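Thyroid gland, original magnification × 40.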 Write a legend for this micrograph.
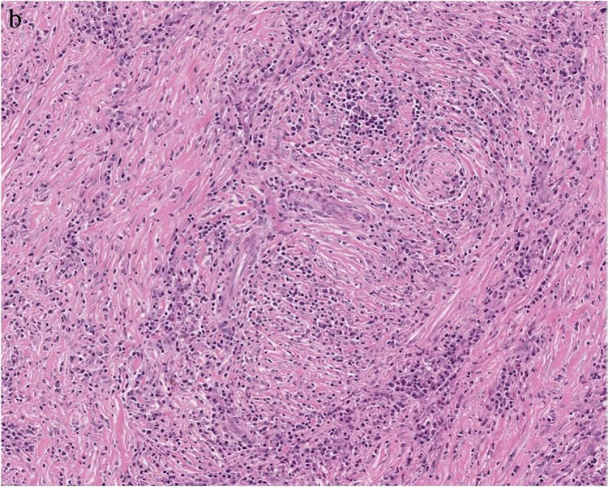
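Fibrotic tissue with pink collagen bundles interlacing at different angles in a whorled, storiform pattern, with spindle-shaped nuclei aligned along the bundles. Numerous small round lymphocytes and plasma cells with dark nuclei are scattered between the collagen bundles and gather more densely in places.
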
